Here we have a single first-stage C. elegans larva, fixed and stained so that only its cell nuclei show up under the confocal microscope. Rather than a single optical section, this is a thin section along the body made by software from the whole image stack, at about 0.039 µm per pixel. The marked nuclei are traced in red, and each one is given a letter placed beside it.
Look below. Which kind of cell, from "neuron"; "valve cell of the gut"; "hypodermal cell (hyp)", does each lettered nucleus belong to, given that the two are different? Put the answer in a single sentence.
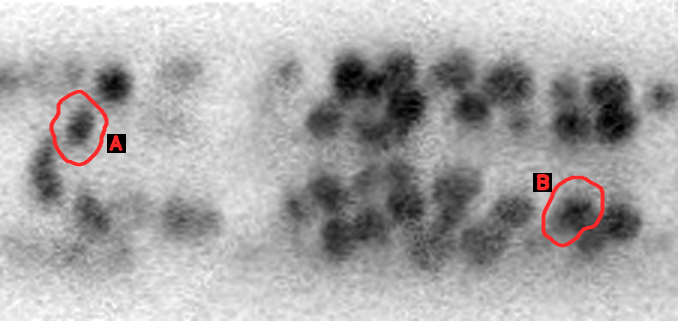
A belongs to a valve cell of the gut and B to a neuron.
